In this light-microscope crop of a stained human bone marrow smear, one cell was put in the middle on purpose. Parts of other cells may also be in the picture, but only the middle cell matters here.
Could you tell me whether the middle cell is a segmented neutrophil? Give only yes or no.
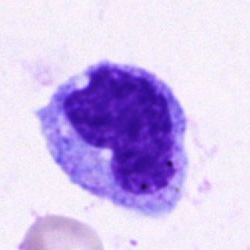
no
